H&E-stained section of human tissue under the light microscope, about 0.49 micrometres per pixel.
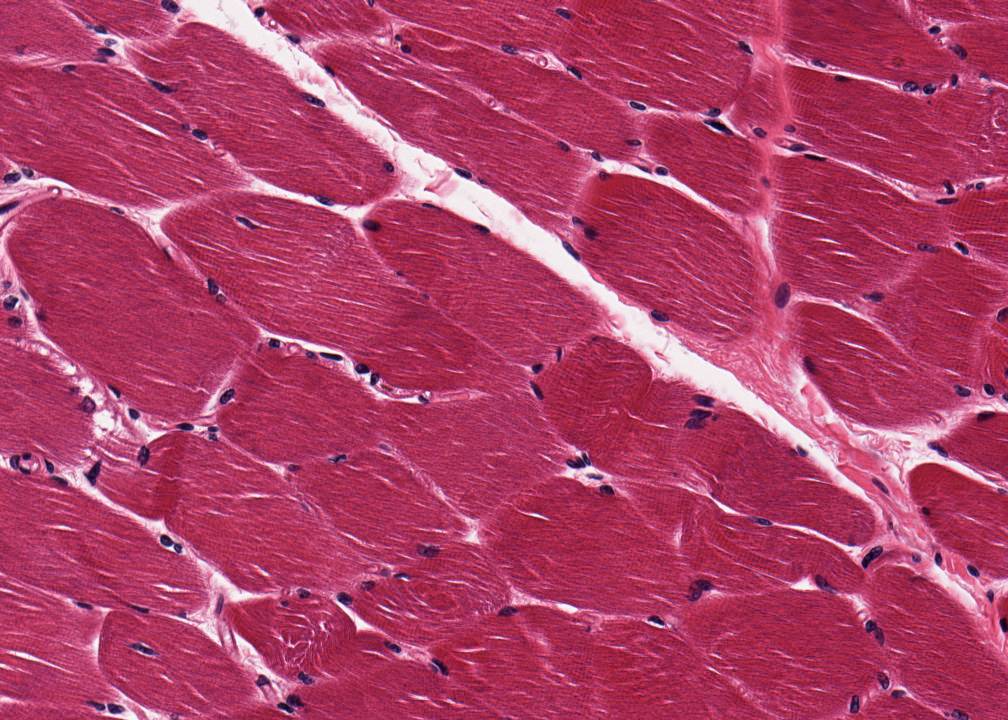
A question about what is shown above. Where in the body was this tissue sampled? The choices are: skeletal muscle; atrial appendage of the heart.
skeletal muscle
